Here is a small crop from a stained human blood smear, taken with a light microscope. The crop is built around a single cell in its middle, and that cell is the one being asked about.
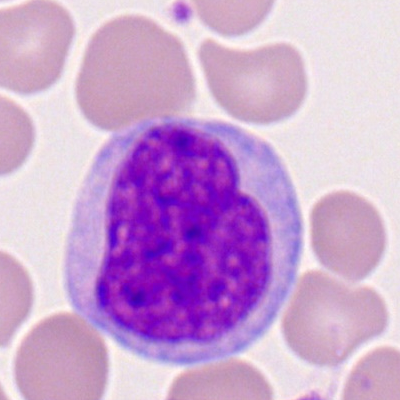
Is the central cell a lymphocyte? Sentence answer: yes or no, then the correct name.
No, the cell in the centre is a monocyte instead of a lymphocyte.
